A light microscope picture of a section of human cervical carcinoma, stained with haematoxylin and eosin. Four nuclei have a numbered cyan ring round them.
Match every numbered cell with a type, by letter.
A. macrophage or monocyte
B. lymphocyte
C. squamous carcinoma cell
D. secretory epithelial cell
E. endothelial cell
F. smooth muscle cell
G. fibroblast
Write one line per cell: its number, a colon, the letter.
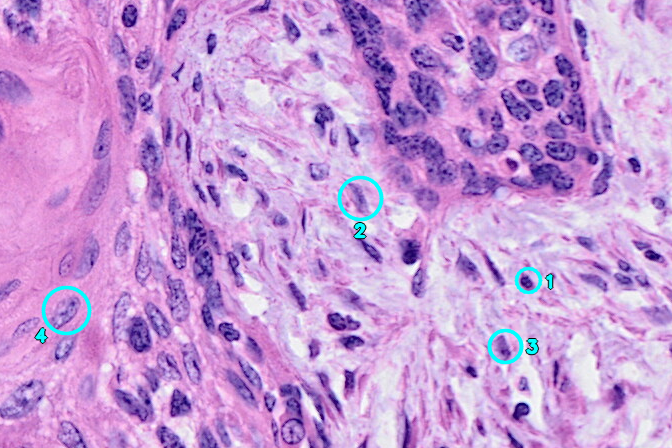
1: G
2: G
3: G
4: C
